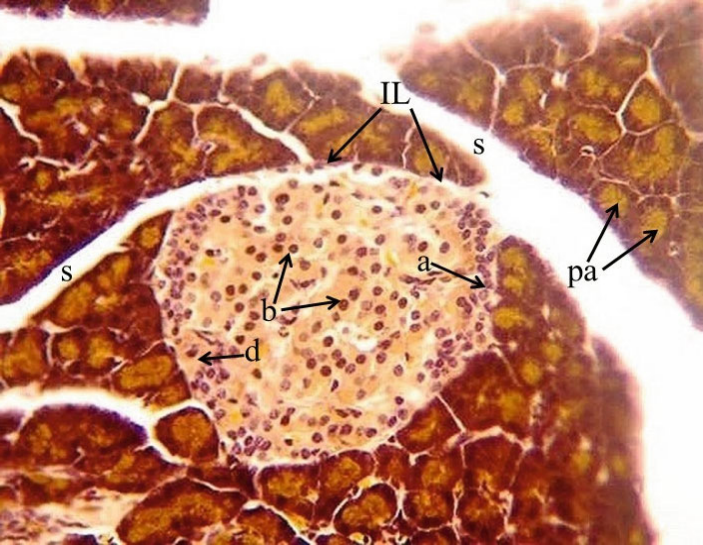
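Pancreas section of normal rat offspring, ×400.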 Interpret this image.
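The islet is a rounded, pale pink mass of closely packed endocrine cells with round, darkly stained nuclei of fairly even size. The cells in the islet run in irregular cords, with a denser ring of nuclei at the islet edge. The surrounding acini are made of cells with dark brown cytoplasm gathered around yellow-orange centres, grouped into rounded units. Thin pale septa divide the acinar tissue, and wide clear clefts separate the lobules.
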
